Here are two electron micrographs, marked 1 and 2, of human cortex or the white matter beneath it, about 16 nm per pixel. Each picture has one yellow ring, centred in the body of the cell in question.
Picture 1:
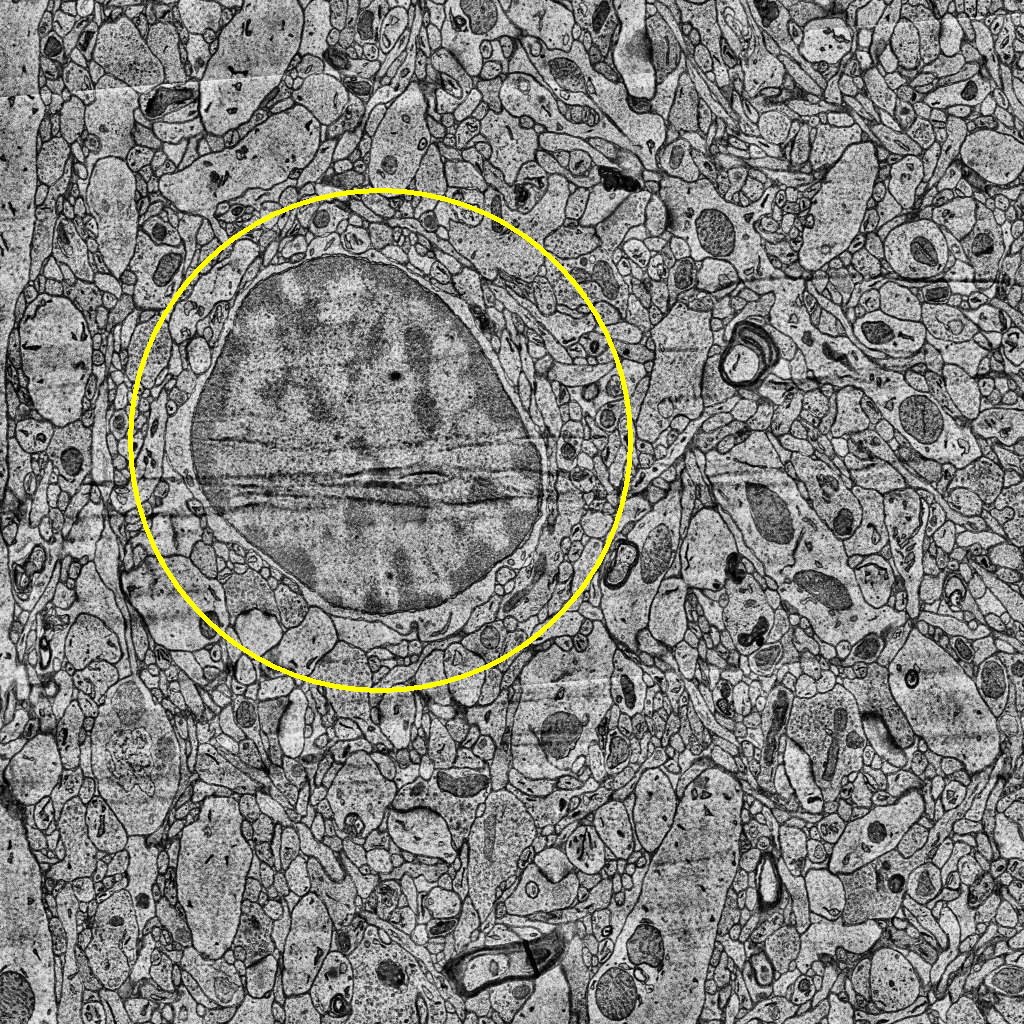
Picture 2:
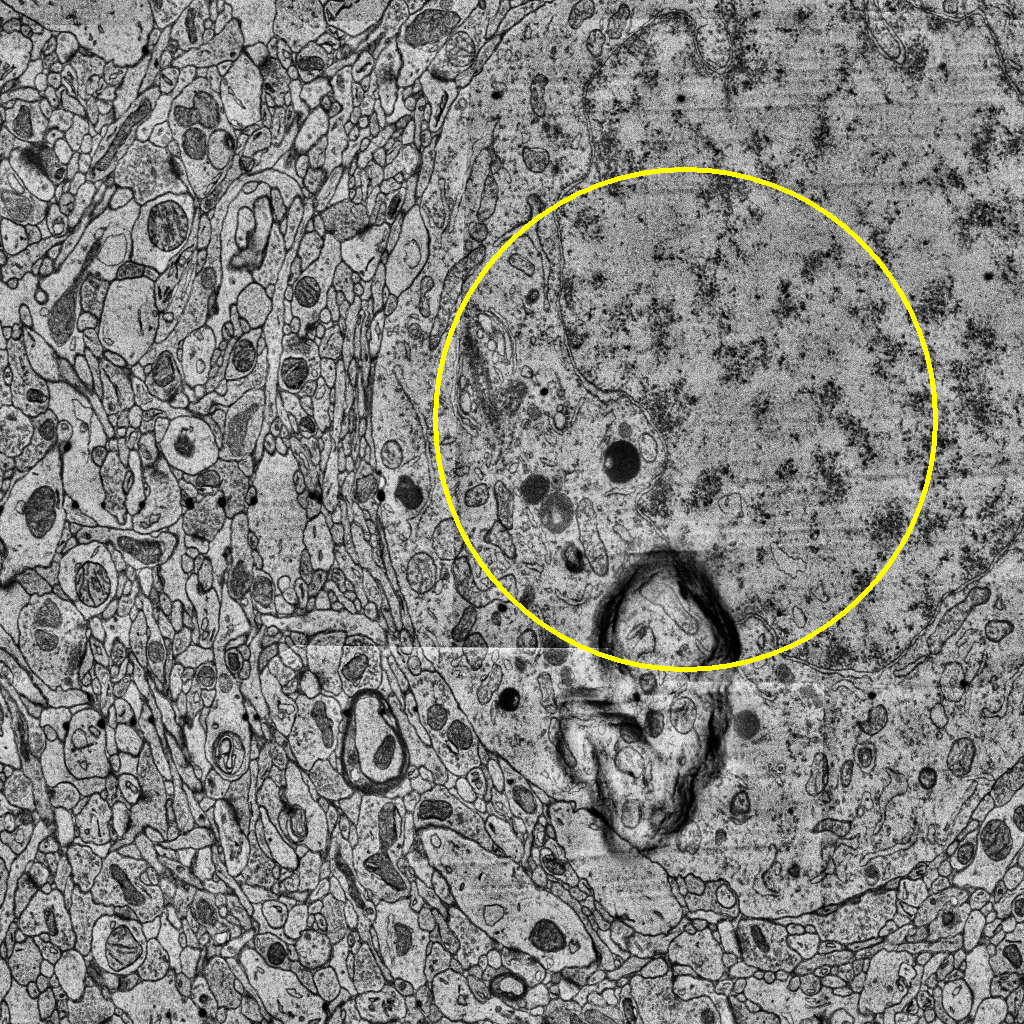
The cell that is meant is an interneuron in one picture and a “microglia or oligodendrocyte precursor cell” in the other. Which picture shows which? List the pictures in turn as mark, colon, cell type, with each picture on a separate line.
1: microglia or oligodendrocyte precursor cell
2: interneuron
